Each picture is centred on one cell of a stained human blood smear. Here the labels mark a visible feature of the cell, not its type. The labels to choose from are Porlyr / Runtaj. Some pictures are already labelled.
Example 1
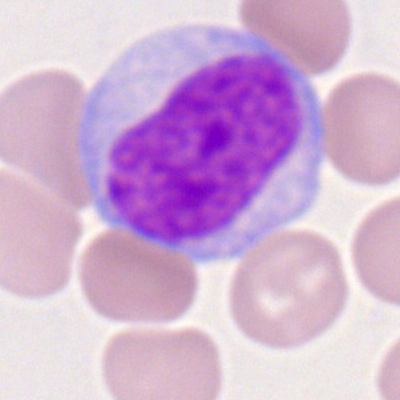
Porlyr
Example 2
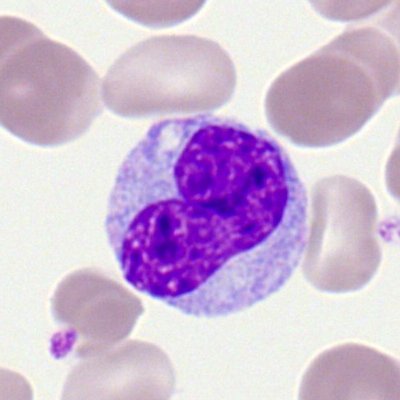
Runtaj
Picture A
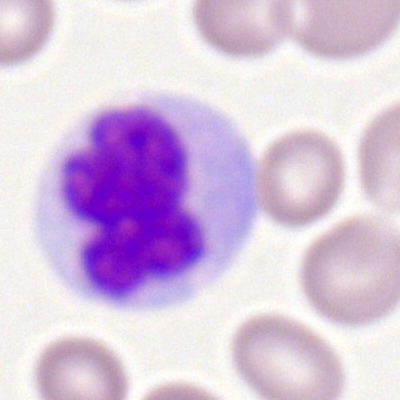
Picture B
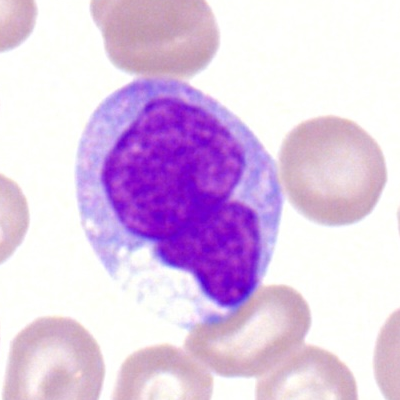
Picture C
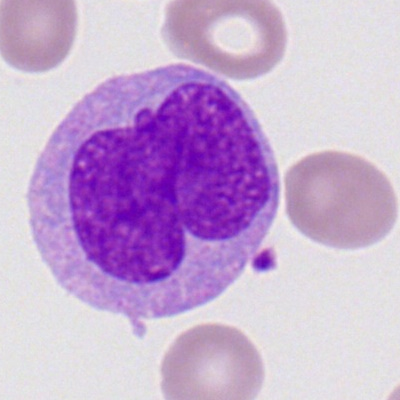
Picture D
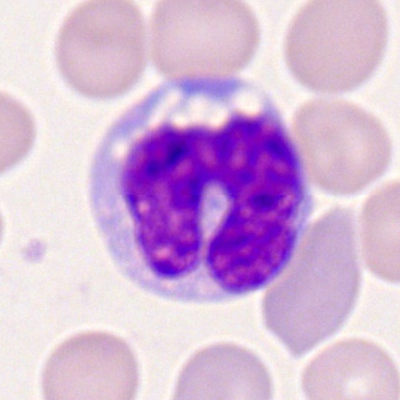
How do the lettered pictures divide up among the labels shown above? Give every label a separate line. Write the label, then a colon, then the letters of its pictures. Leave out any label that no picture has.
Runtaj: A, B, C, D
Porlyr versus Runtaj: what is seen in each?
Porlyr: single compact nucleus; Runtaj: lobed nucleus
